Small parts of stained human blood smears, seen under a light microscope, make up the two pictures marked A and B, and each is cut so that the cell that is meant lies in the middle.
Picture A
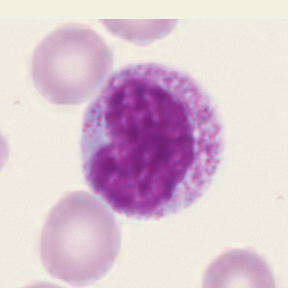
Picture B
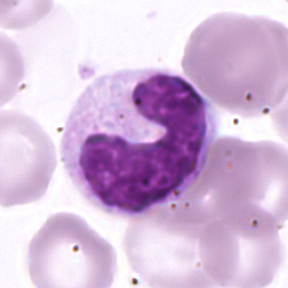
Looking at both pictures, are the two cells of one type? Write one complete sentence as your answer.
No, picture A shows a metamyelocyte and picture B shows a band neutrophil.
